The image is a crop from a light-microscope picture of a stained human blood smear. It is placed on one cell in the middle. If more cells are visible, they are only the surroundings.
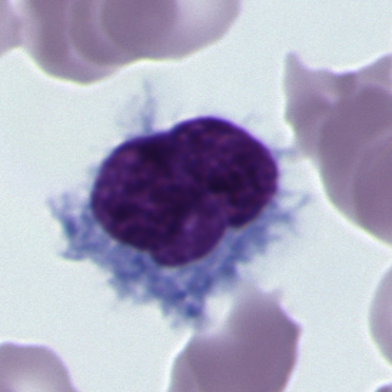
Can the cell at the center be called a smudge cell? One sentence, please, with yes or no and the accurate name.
No, what lies at the heart of the crop is a hairy cell, not a smudge cell.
